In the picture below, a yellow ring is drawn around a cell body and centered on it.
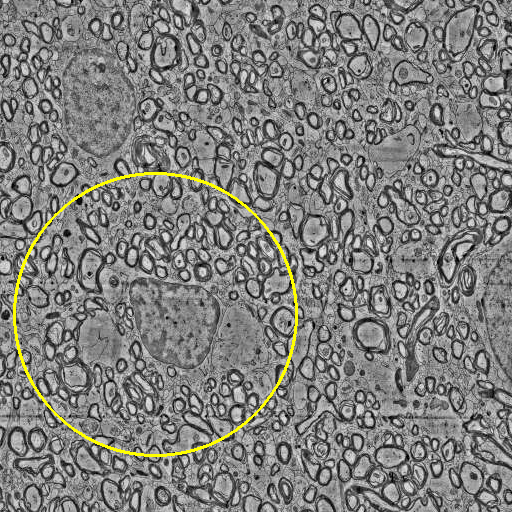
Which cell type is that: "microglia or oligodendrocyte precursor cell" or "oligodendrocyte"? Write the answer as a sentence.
The cell centered in the ring is a microglial cell or oligodendrocyte precursor cell.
